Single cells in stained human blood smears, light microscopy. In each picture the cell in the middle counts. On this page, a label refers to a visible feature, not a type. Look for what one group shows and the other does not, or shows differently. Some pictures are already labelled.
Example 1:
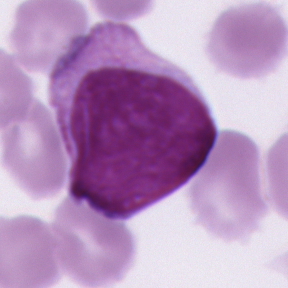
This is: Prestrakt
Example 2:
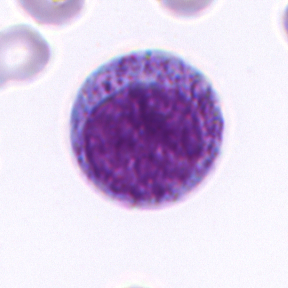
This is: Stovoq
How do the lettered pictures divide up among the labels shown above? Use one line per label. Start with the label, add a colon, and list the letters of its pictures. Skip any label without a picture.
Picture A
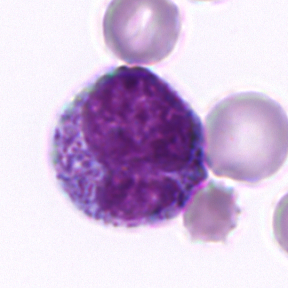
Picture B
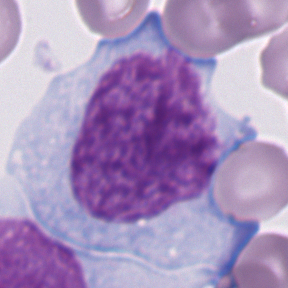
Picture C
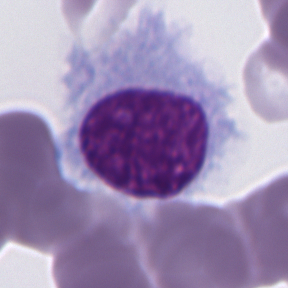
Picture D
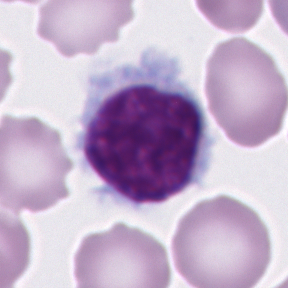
Prestrakt: B, C
Stovoq: A, D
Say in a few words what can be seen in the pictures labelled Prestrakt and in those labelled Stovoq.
Prestrakt: abundant cytoplasm; Stovoq: scant cytoplasm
